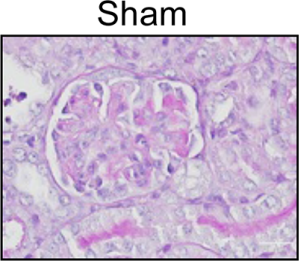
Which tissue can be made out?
Kidney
